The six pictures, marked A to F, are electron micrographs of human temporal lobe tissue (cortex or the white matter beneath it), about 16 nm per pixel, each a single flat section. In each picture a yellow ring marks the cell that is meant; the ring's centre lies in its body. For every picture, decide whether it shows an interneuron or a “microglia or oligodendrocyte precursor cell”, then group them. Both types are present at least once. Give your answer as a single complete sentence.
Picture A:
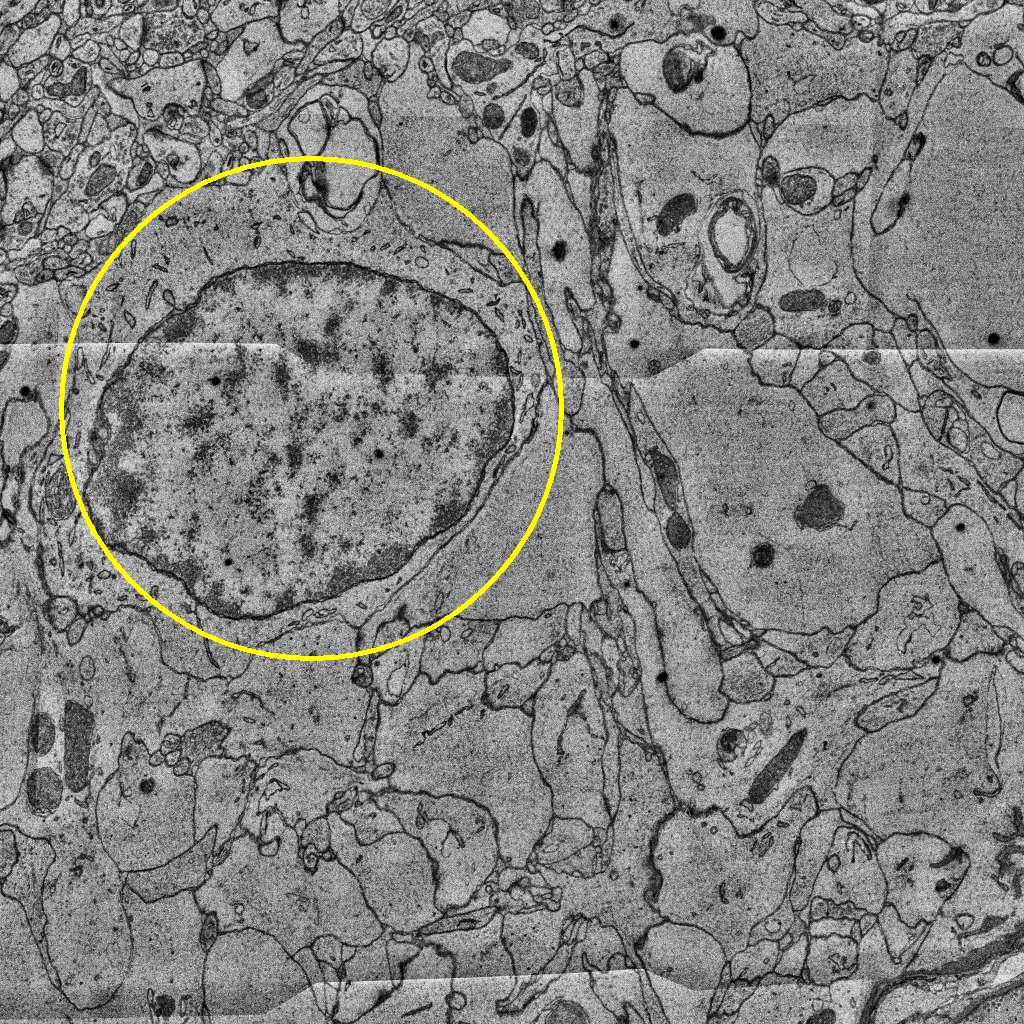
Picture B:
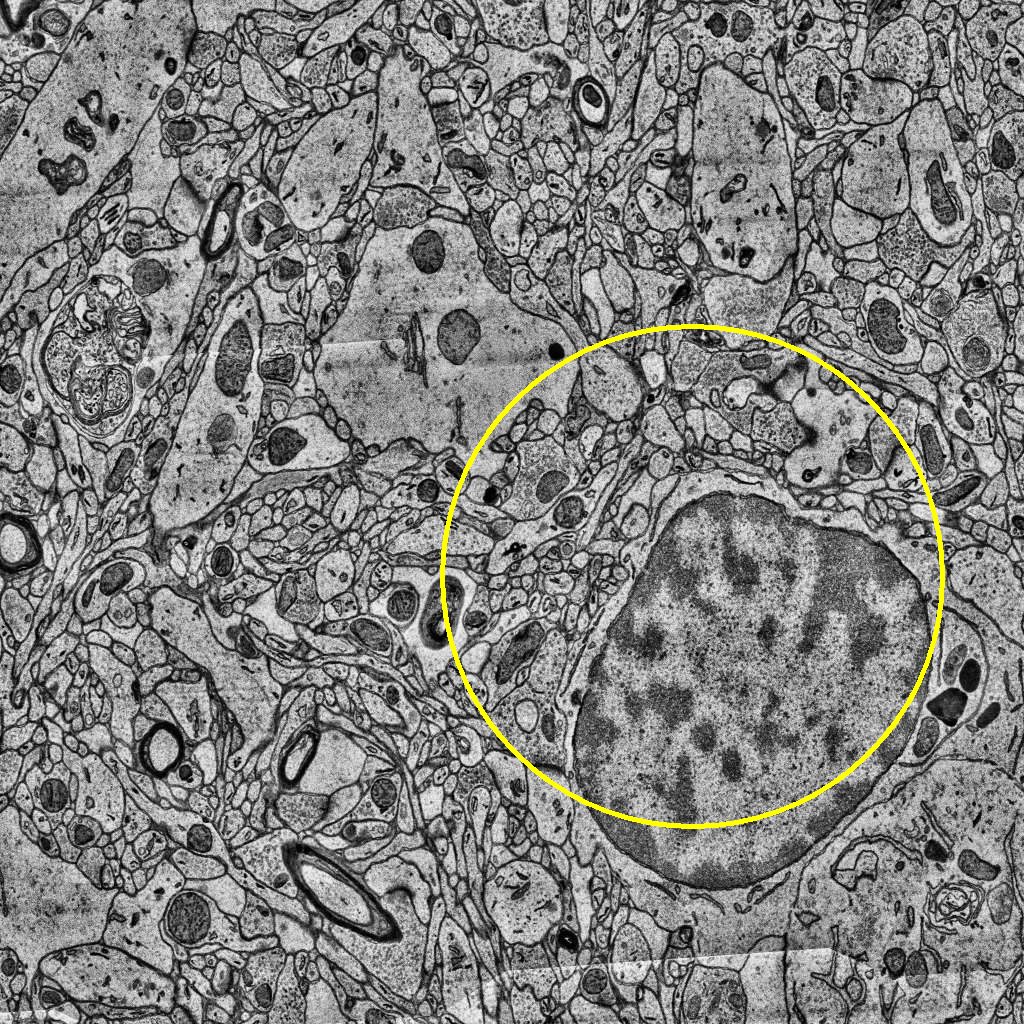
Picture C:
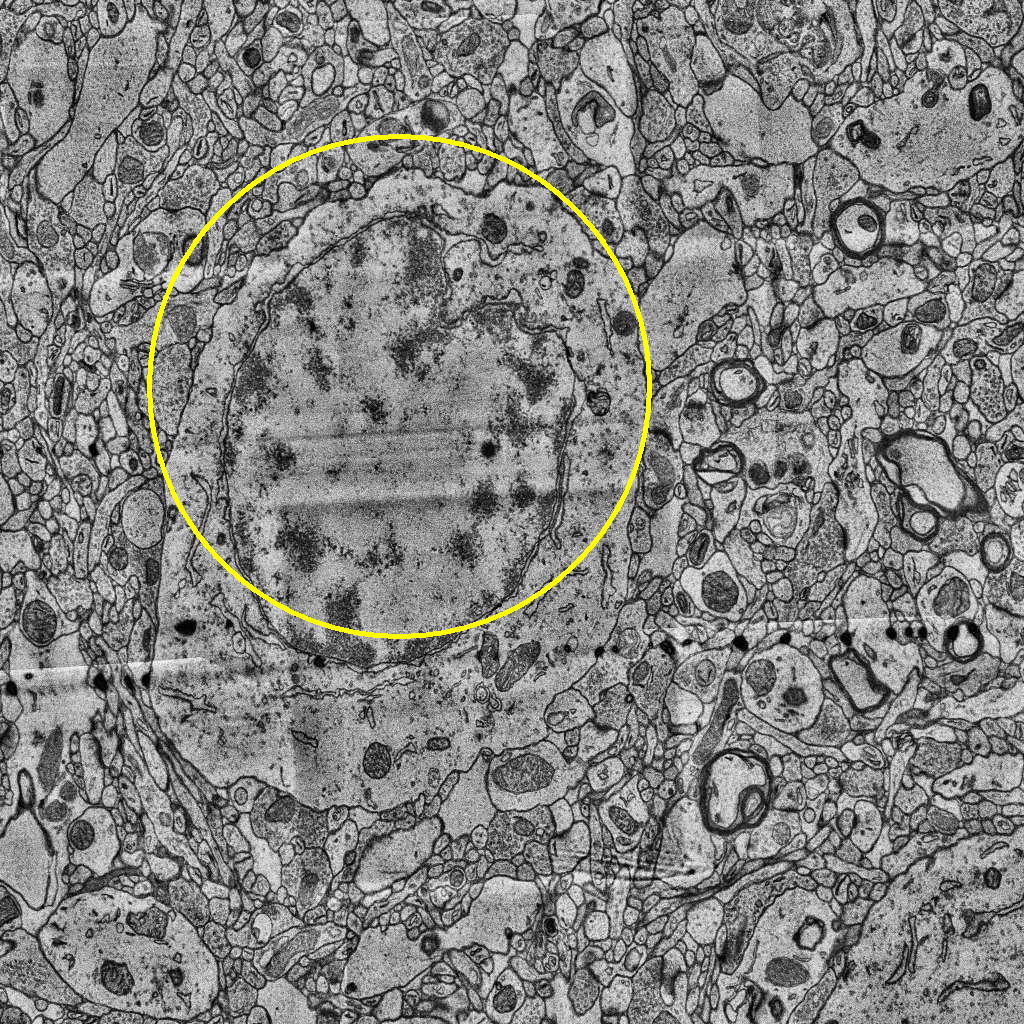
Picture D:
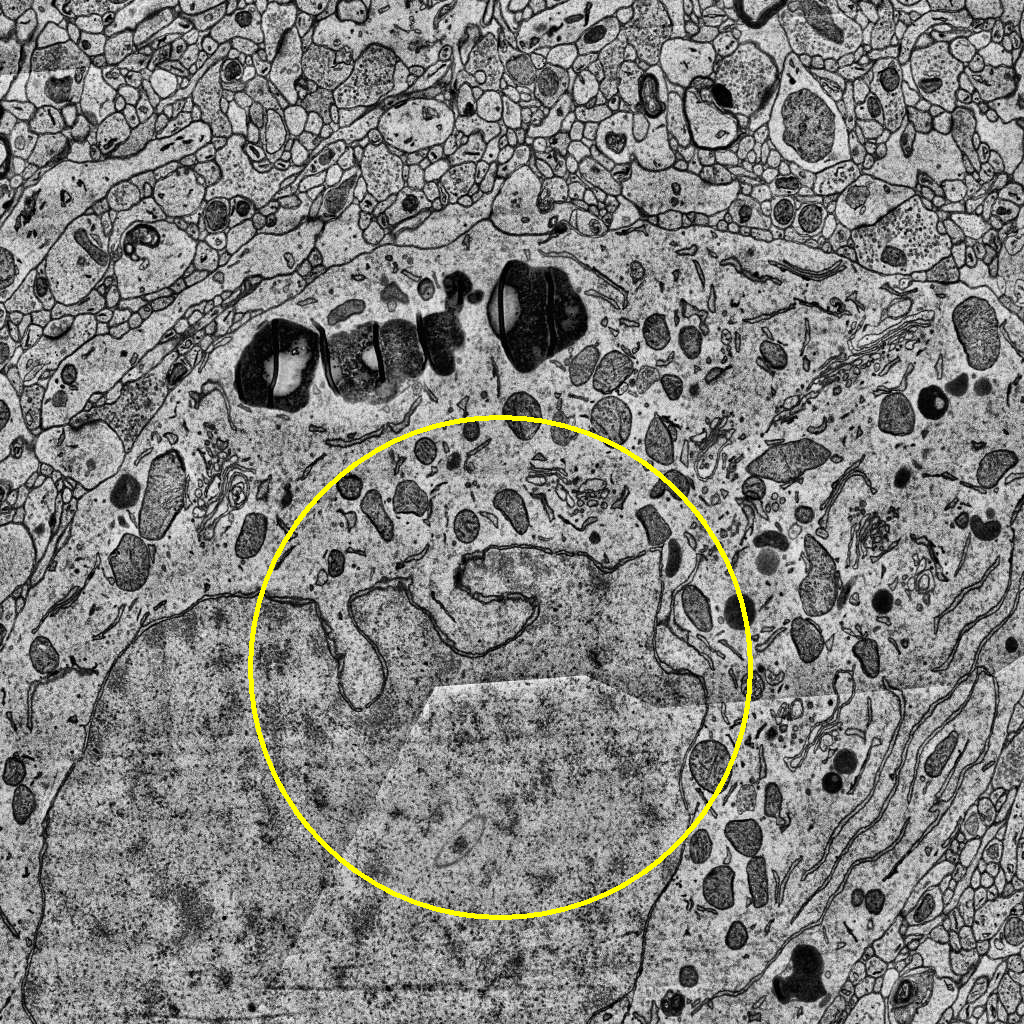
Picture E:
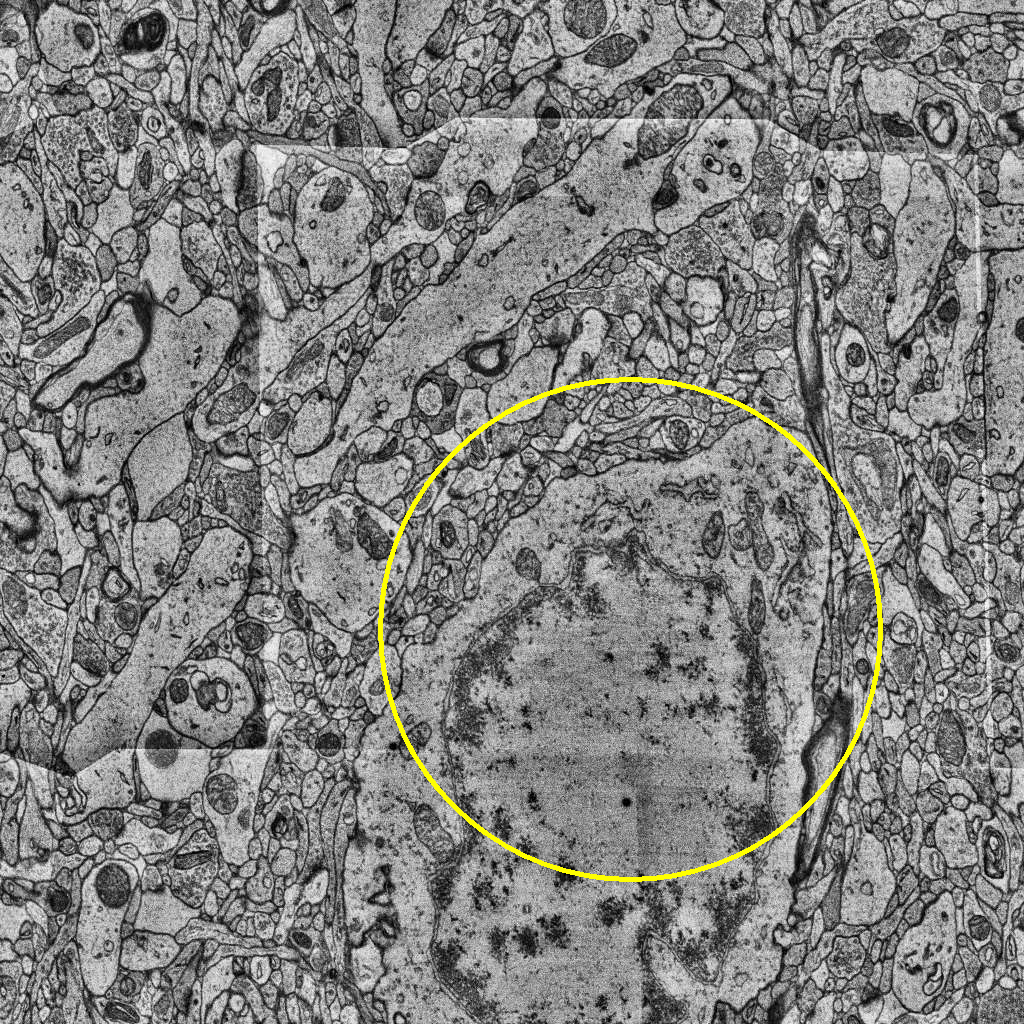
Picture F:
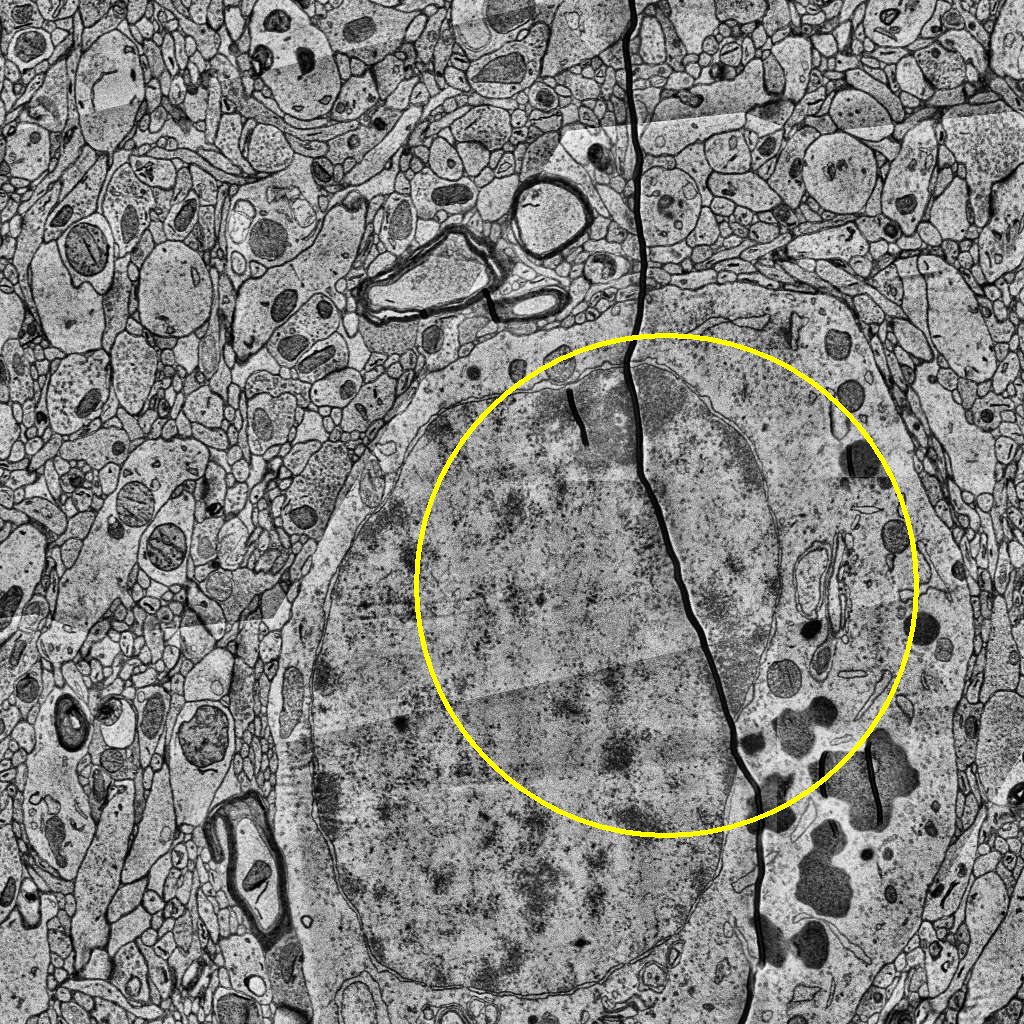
Pictures C, D, E and F show interneurons, and pictures A and B show “microglia or oligodendrocyte precursor cells”.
